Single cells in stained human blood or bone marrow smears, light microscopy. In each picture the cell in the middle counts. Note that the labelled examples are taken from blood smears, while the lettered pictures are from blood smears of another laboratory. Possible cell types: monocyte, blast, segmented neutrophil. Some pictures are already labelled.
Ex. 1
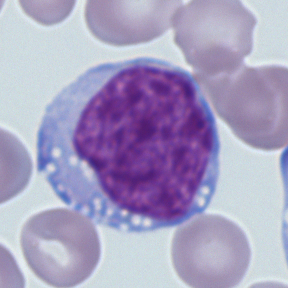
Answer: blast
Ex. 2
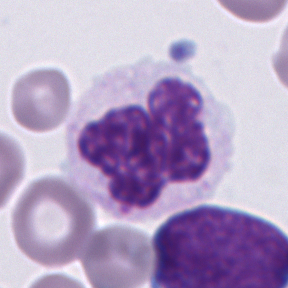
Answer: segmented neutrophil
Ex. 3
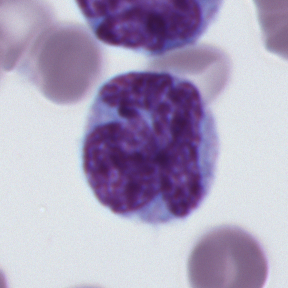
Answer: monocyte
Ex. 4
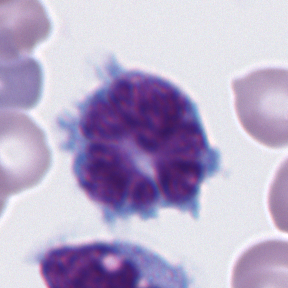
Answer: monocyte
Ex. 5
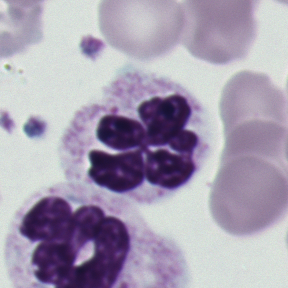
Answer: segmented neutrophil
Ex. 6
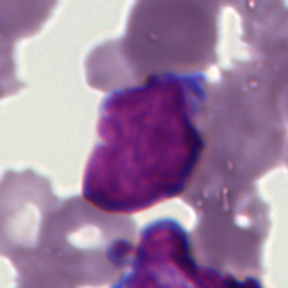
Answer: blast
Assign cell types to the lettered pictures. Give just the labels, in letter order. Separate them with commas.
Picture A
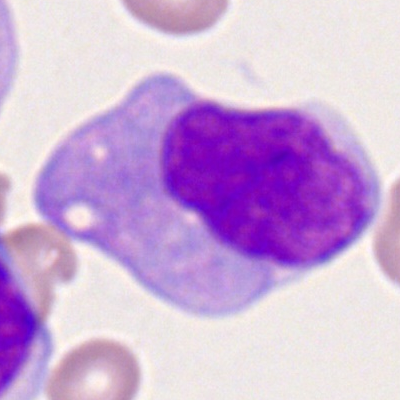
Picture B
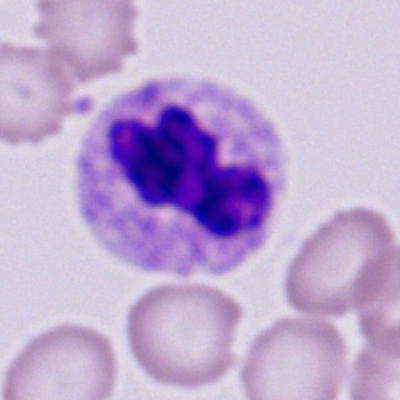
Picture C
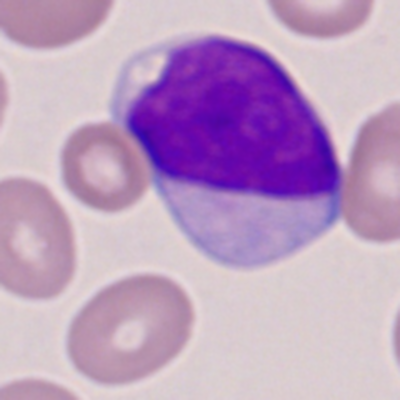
monocyte, segmented neutrophil, blast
